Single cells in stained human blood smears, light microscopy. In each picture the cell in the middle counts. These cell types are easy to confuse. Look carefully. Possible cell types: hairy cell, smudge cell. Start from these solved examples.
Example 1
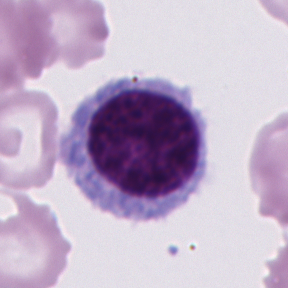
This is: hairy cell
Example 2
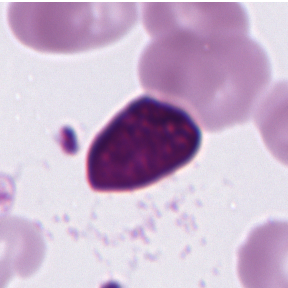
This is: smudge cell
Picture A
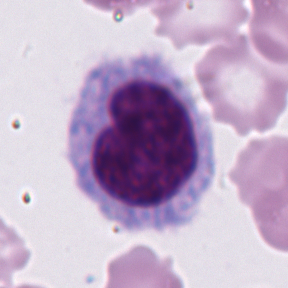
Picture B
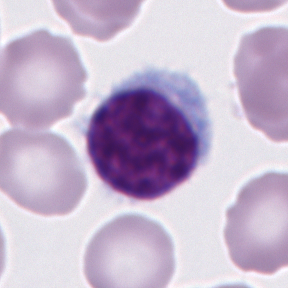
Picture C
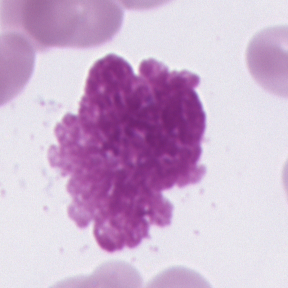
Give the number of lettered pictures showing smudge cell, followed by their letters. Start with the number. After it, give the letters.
1: C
